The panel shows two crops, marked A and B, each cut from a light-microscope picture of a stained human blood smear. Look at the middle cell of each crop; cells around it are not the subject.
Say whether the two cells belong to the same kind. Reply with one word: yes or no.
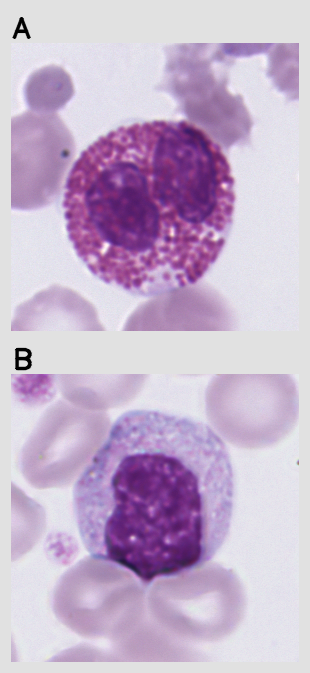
no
